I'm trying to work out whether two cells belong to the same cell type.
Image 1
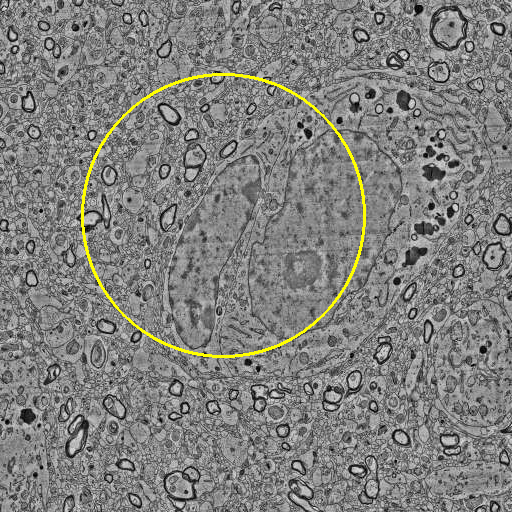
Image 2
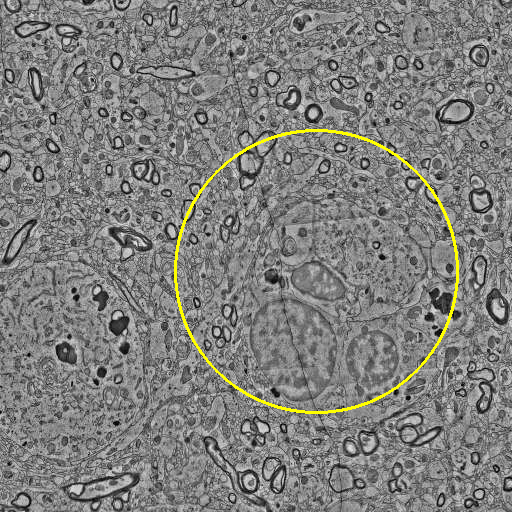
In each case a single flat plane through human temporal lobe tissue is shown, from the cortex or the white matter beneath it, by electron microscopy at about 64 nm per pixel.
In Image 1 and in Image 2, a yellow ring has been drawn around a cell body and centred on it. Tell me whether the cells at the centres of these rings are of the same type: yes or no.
yes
